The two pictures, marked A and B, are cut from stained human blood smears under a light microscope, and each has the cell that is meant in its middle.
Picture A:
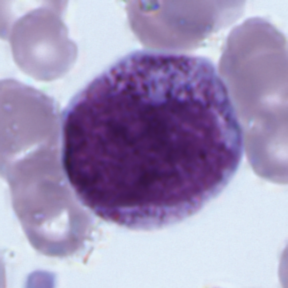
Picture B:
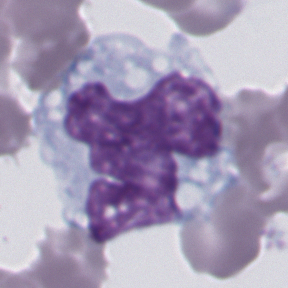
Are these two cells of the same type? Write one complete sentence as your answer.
No, picture A shows a promyelocyte and picture B shows a monocyte.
